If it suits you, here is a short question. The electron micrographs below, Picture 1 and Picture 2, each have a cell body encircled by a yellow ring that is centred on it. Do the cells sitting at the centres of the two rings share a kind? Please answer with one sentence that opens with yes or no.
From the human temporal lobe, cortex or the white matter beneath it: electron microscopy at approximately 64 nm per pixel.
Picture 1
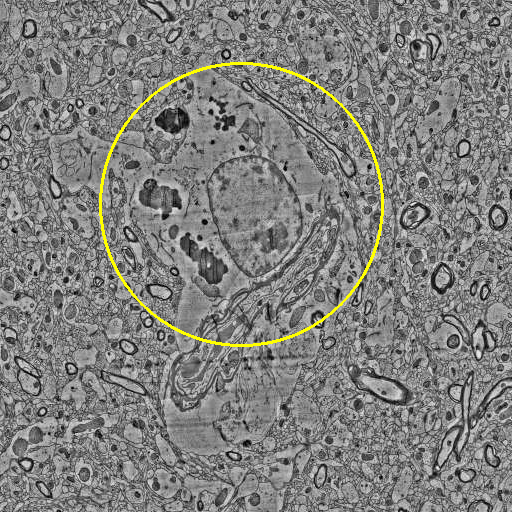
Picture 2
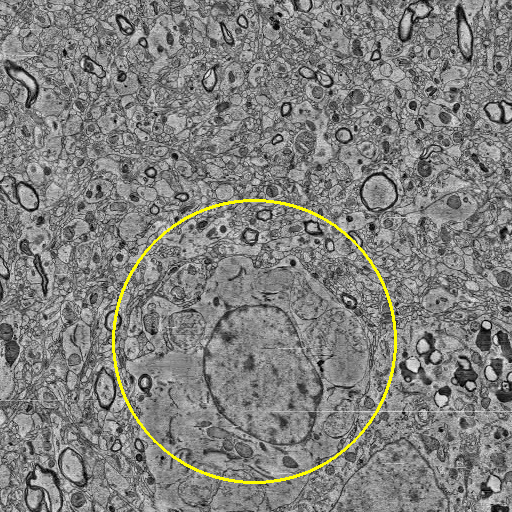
Yes, the two cells sitting at the ring centres share a single kind.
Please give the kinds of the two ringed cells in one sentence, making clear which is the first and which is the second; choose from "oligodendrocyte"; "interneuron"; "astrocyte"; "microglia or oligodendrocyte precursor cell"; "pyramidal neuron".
Each of the two rings surrounds an astrocyte.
